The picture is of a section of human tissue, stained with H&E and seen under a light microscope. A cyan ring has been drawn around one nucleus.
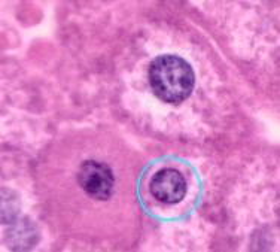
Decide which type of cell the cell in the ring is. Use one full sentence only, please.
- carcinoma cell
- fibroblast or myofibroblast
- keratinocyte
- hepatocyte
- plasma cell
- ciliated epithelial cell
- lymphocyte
In the context of this tissue, the cell in the ring is a hepatocyte.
